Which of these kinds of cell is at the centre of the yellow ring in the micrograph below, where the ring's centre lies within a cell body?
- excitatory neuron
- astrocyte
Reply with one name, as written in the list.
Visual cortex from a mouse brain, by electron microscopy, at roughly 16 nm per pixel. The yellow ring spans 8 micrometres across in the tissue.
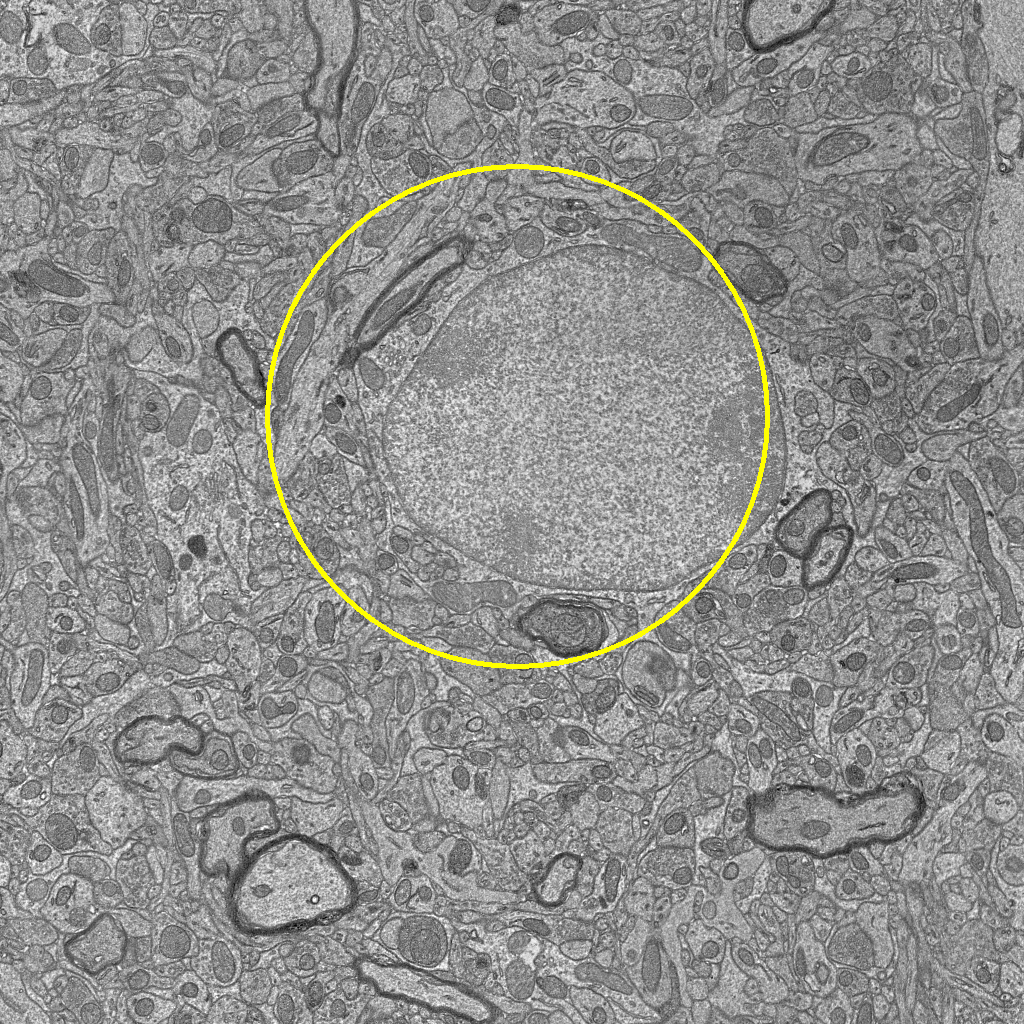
astrocyte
